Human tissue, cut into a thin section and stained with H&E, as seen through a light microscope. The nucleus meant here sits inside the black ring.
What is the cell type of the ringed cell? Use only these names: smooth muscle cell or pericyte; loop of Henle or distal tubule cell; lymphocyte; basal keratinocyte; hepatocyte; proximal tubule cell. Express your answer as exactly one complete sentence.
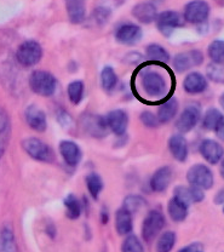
Histopathologically, the ringed cell is a lymphocyte.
